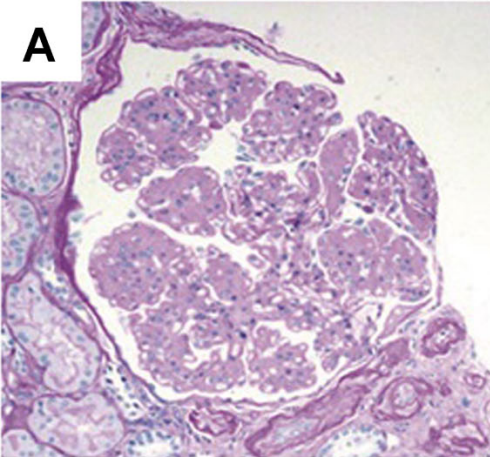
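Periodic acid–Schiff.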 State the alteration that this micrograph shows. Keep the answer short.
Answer: Lobular architecture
